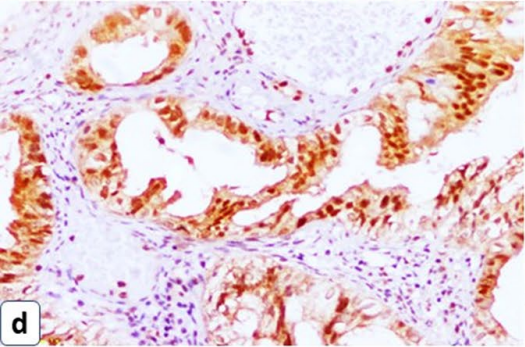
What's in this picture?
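The glands are lined by tall columnar cells, crowded and in places layered, with enlarged nuclei that stain intensely brown, and brown tint also in the cytoplasm. Gland lumina are irregular and some contain pale material. The intervening stroma is pale with spindle-shaped cells, some of whose nuclei are also brown, among others counterstained blue.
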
